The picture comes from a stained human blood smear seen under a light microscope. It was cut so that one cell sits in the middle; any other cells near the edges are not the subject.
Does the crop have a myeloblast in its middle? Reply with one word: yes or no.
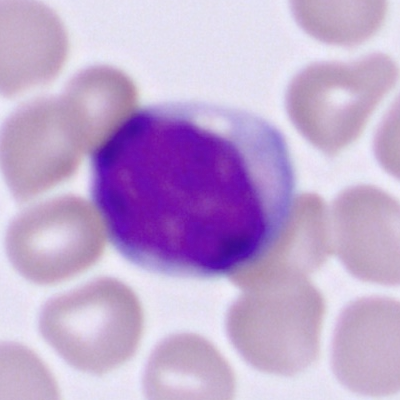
yes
